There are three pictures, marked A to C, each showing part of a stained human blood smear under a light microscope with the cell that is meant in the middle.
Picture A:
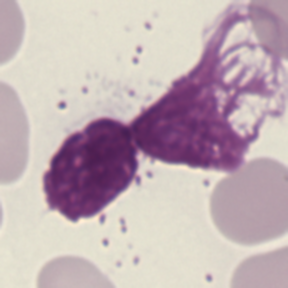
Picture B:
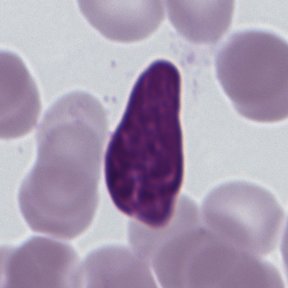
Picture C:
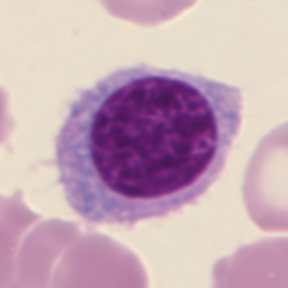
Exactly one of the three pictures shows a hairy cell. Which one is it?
C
